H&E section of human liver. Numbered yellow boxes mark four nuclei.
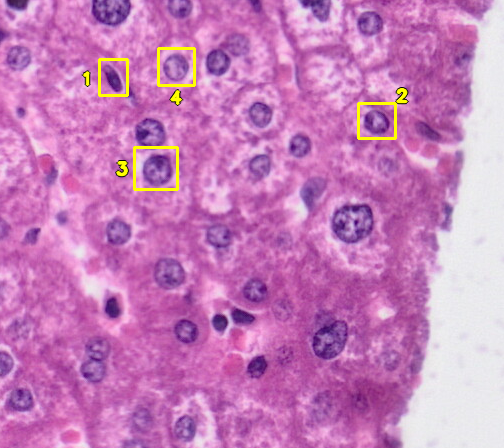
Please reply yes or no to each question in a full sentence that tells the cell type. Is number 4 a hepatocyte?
Yes, what number 4 marks is a hepatocyte.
